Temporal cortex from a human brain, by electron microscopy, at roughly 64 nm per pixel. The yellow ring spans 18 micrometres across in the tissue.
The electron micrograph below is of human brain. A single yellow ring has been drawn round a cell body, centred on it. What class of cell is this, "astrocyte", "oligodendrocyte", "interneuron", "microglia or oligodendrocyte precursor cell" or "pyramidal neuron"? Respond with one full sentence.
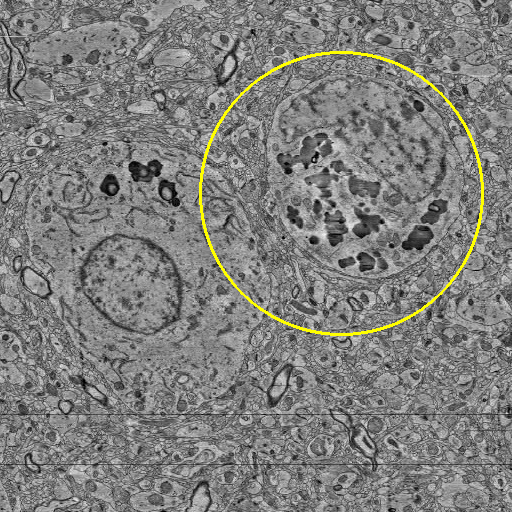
In the micrograph, the cell centred inside the yellow ring is an interneuron.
